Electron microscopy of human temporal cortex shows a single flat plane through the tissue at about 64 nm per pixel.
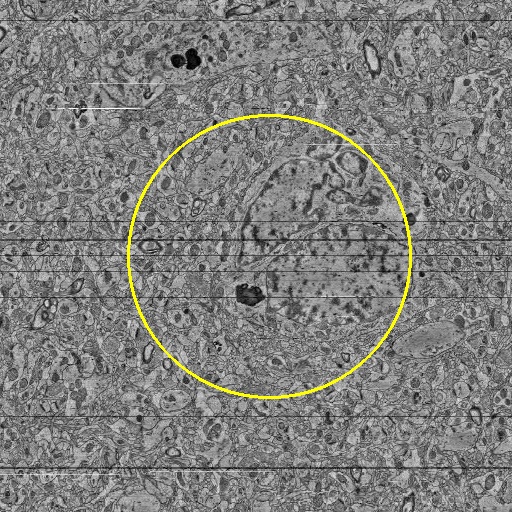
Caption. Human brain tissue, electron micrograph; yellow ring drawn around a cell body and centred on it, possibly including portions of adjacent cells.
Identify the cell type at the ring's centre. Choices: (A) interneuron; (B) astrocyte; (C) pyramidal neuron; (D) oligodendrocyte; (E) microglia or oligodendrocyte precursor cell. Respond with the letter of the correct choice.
E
